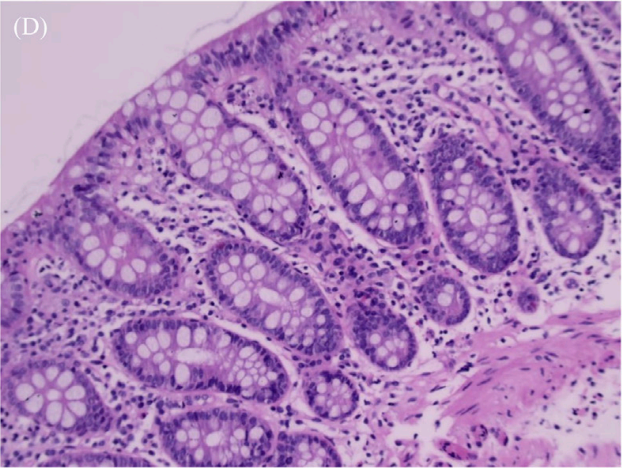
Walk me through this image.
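This is colonic mucosa with well preserved architecture. Straight, evenly spaced tubular crypts are cut both lengthwise and across, and each is lined by columnar epithelium rich in goblet cells whose pale mucin vacuoles give a bubbly appearance, with small dark basal nuclei. A continuous single layer of columnar surface epithelium covers the top. The lamina propria between the crypts holds only a modest number of scattered mononuclear cells, without crowding of inflammatory cells or crypt abscesses. At the lower right, pink bundles of smooth muscle of the muscularis mucosae are seen beneath the crypt bases.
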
